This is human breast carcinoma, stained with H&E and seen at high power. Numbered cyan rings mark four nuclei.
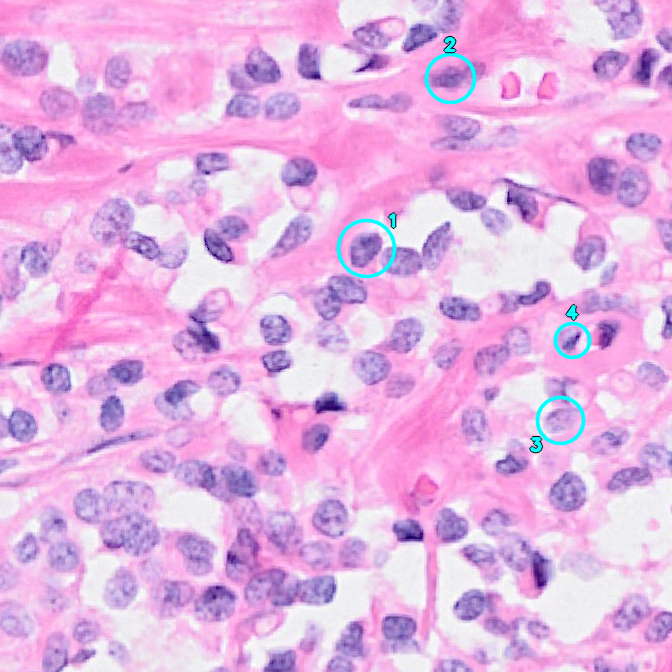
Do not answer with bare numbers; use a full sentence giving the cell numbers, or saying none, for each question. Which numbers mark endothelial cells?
The cells numbered 2 and 4 fall into the category of endothelial cells.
